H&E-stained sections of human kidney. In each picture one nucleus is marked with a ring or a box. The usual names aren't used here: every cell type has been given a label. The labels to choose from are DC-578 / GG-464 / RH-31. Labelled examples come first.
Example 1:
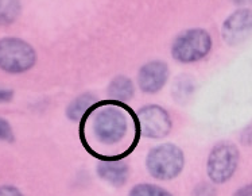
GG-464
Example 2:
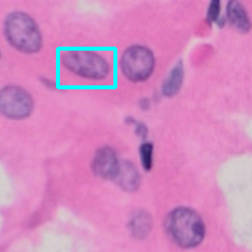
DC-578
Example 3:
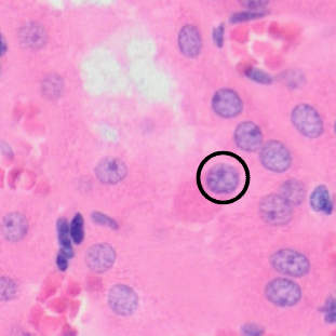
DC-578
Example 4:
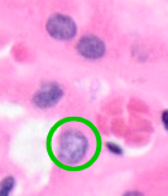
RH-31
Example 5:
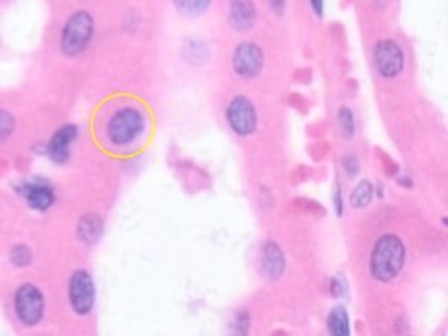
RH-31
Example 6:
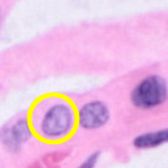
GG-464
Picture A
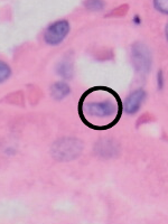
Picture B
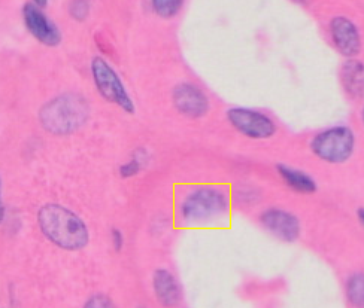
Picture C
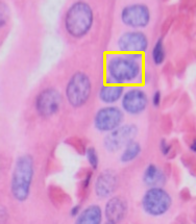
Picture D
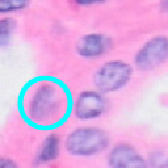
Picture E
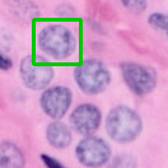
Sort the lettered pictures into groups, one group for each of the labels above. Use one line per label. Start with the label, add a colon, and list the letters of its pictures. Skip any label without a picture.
GG-464: A, C, E
RH-31: B, D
